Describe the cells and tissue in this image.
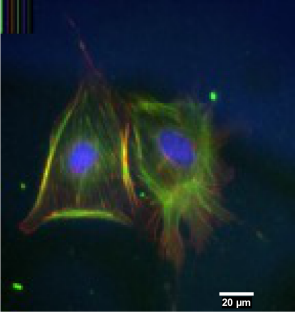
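Two flattened, widely spread cultured cells lie side by side, each with a single oval blue nucleus near its centre. Red fibres form a network through the cytoplasm and gather into thick, bright bundles along the straight cell borders, giving the cells an angular outline. Green follows the same fibres, so where both overlap the bundles look yellow to orange, especially along the edges. Fine fibrous projections fan out at the margins of the cells, and the right cell shows a looser, more radiating fibre pattern than the left.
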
